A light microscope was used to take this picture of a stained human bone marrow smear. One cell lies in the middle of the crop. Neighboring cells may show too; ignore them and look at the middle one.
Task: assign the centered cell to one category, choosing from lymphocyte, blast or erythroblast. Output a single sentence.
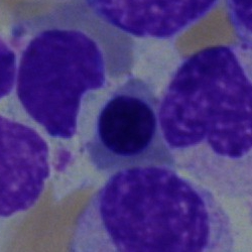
In the crop, the cell of interest at the centre is an erythroblast.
